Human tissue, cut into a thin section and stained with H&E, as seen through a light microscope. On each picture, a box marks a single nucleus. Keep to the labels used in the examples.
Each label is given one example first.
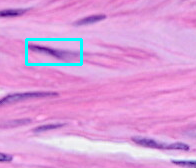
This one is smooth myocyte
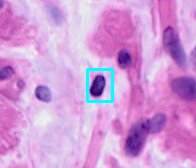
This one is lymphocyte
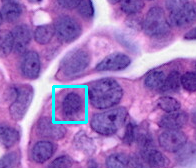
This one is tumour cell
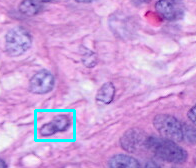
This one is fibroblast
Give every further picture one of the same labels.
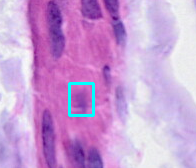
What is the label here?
smooth myocyte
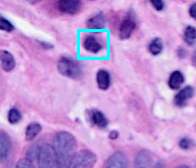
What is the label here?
lymphocyte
